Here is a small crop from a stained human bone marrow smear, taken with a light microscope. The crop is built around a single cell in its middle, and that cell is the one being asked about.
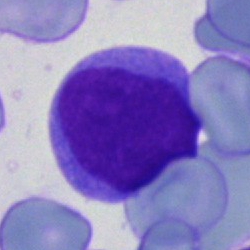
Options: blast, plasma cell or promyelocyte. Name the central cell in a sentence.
The crop centres on a single cell, and that cell is a blast.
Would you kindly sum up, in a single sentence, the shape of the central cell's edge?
There are no projections here; the outline is simply smooth.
